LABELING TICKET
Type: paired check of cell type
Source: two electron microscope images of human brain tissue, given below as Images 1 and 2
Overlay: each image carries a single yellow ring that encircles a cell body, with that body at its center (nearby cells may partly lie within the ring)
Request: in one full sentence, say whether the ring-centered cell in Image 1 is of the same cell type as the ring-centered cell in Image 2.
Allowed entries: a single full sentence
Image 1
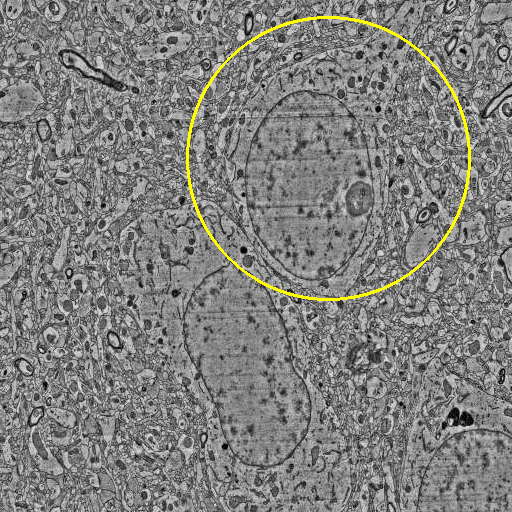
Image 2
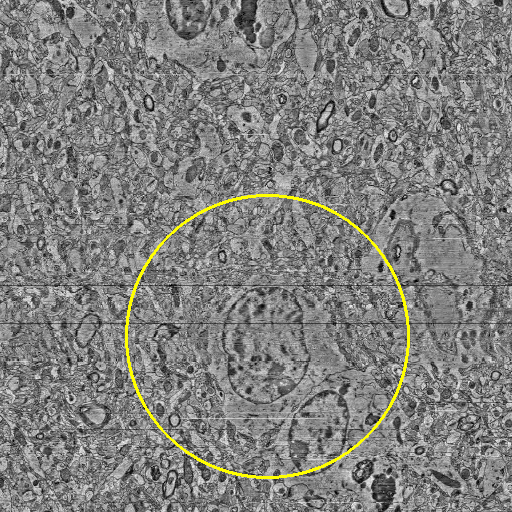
No, the cells centered in the rings of Image 1 and Image 2 are of two types.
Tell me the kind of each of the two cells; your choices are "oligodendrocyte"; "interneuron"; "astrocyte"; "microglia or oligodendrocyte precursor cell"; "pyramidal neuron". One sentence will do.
The ringed cell is a pyramidal neuron in the first picture and an astrocyte in the second picture.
